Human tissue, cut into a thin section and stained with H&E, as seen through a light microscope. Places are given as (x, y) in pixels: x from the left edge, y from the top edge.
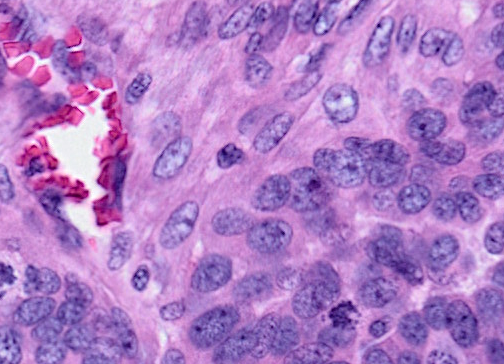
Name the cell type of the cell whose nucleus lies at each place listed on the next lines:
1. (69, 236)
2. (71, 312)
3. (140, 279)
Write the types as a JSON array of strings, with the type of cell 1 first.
["endothelial cell", "carcinoma cell", "lymphocyte"]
